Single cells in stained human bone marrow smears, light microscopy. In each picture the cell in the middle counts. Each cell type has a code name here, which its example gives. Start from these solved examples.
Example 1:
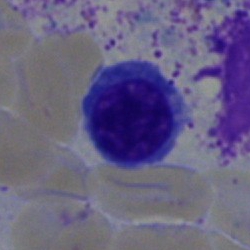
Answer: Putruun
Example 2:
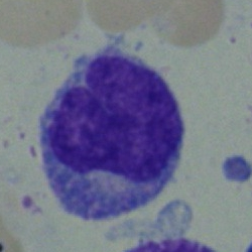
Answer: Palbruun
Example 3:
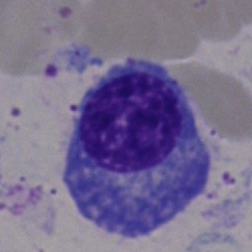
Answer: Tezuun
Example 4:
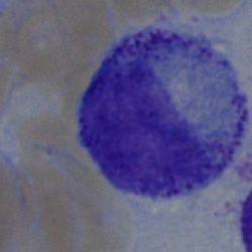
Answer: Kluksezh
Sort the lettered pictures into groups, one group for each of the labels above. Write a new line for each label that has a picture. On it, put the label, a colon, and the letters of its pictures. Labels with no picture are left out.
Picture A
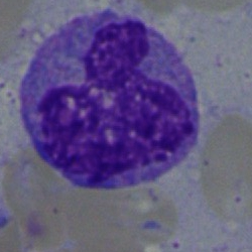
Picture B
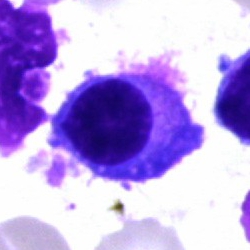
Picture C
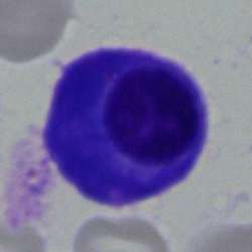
Palbruun: A
Tezuun: B, C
